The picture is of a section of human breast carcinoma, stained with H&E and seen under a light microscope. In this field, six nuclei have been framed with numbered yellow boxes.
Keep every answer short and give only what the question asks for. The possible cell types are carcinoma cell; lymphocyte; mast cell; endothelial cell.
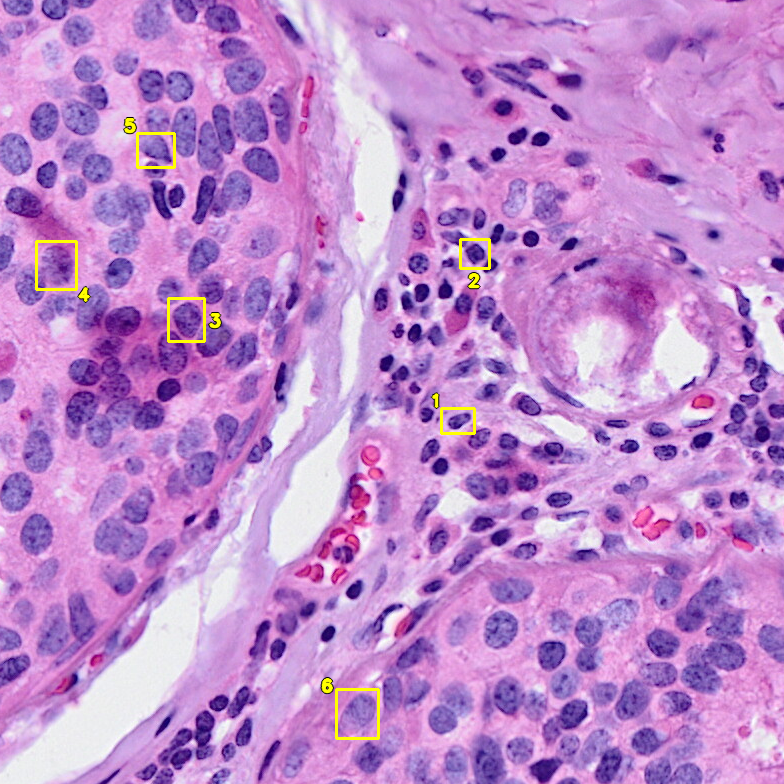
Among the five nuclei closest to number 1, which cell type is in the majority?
mast cell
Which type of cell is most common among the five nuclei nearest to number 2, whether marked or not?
lymphocyte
